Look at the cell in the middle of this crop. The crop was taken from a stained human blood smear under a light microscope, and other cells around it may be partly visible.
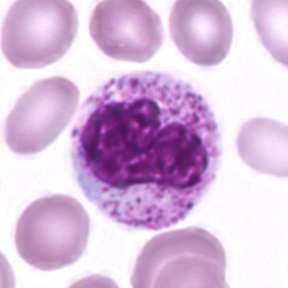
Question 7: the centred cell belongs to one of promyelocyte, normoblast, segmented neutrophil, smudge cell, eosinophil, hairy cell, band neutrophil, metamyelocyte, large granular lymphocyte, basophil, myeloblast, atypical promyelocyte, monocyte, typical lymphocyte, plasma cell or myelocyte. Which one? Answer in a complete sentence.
The centrally positioned cell in the crop represents a band neutrophil.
